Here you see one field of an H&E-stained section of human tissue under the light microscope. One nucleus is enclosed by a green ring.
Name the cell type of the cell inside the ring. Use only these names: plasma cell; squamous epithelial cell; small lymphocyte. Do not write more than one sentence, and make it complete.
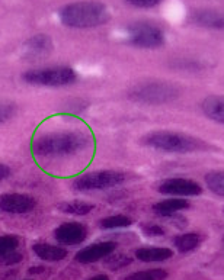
Placed in its cell category, the cell inside the ring is a squamous epithelial cell.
